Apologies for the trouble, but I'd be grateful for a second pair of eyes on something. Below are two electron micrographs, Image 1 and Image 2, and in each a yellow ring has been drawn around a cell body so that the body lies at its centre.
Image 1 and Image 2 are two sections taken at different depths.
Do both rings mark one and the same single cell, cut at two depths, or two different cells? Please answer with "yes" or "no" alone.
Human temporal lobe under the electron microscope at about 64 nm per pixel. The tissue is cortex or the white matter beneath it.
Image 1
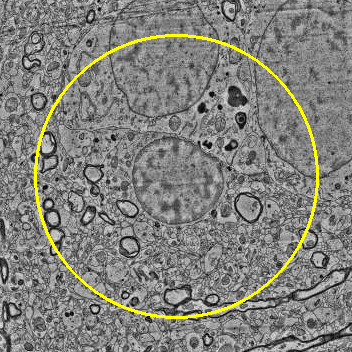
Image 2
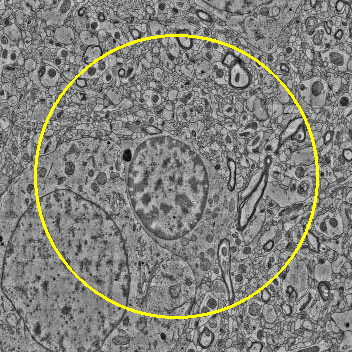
no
